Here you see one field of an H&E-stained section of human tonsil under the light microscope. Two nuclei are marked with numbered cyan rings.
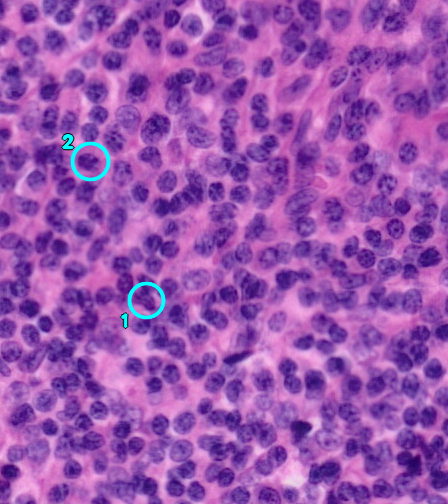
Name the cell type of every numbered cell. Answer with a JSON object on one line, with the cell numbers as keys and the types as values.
{"1": "small lymphocyte", "2": "plasma cell"}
